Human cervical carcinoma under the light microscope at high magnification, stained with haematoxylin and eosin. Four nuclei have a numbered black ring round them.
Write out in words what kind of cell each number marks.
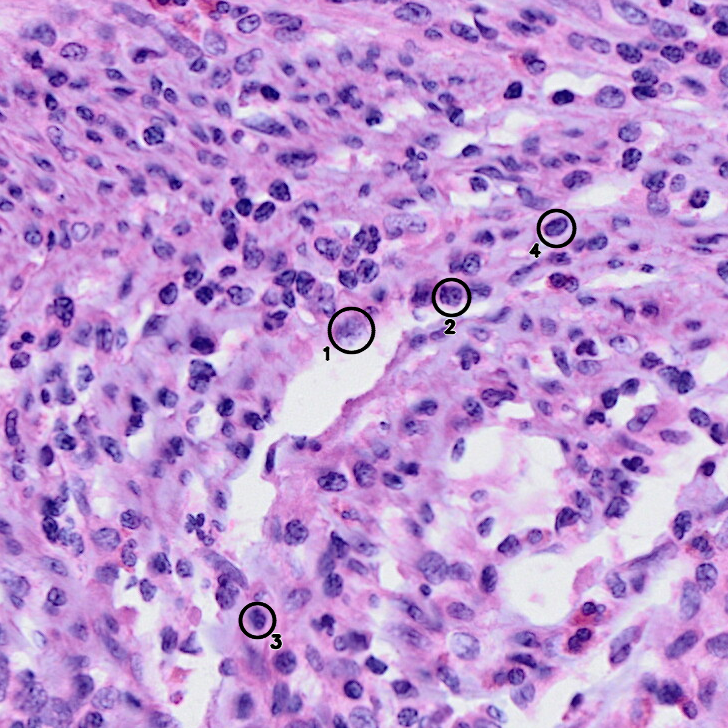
Cell 1 is an endothelial cell, cell 2 is a lymphocyte, cell 3 is a lymphocyte and cell 4 is a lymphocyte.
